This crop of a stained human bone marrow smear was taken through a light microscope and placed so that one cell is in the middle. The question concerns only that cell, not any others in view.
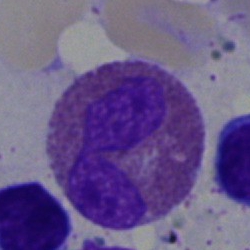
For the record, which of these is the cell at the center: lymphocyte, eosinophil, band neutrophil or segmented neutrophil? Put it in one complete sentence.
Located at the centre of the crop is an eosinophil.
